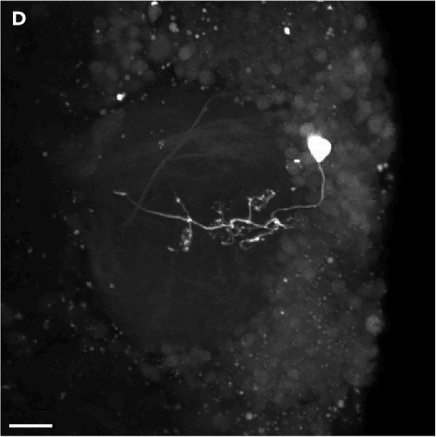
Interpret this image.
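A single brightly labeled neuron stands out against a dim neuropil ringed by many small round cell bodies. Its round cell body lies in the rim of somata and gives off one thin neurite that runs inward into the calyx neuropil. There the neurite branches into a small arbor whose endings are short, curved and hook-like, the claw-shaped dendritic terminals of a Kenyon cell. A second thin fibre continues away from the arbor across the neuropil.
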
